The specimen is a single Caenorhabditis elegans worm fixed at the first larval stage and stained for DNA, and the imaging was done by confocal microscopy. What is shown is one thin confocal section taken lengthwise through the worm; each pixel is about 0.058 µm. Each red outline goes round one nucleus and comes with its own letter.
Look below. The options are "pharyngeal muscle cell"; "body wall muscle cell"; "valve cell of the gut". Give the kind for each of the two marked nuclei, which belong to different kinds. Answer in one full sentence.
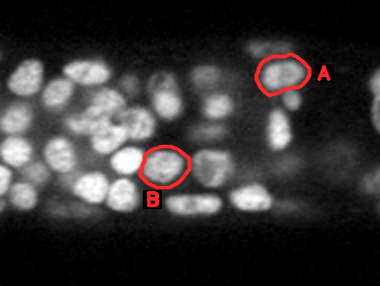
A is from a body wall muscle cell, and B is from a pharyngeal muscle cell.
